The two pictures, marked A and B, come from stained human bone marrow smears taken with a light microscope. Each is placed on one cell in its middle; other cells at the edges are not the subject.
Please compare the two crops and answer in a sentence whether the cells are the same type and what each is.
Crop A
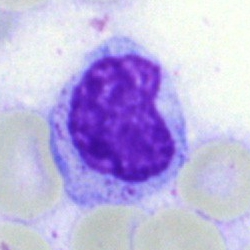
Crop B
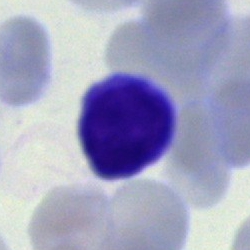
Yes, lymphocytes are the cells shown in both crops.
